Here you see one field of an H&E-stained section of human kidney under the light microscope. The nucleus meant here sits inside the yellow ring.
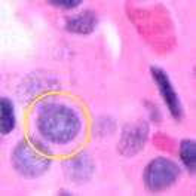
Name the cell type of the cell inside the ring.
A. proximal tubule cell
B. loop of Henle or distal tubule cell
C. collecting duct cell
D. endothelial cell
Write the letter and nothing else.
C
